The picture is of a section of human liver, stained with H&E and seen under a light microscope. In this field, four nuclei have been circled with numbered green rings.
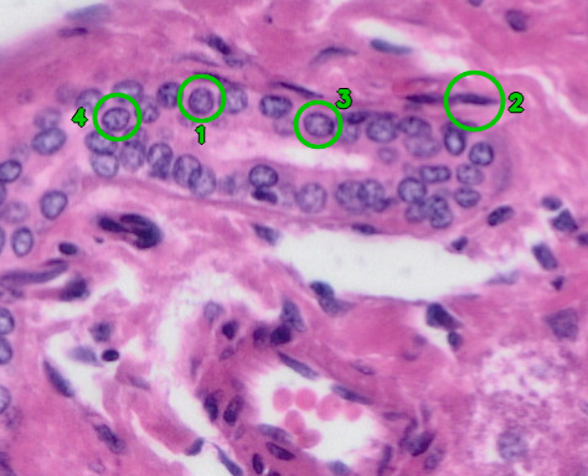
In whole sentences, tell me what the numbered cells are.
Cell 1 is a cholangiocyte, cell 2 is a fibroblast or stellate cell, cell 3 is a cholangiocyte and cell 4 is a cholangiocyte.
